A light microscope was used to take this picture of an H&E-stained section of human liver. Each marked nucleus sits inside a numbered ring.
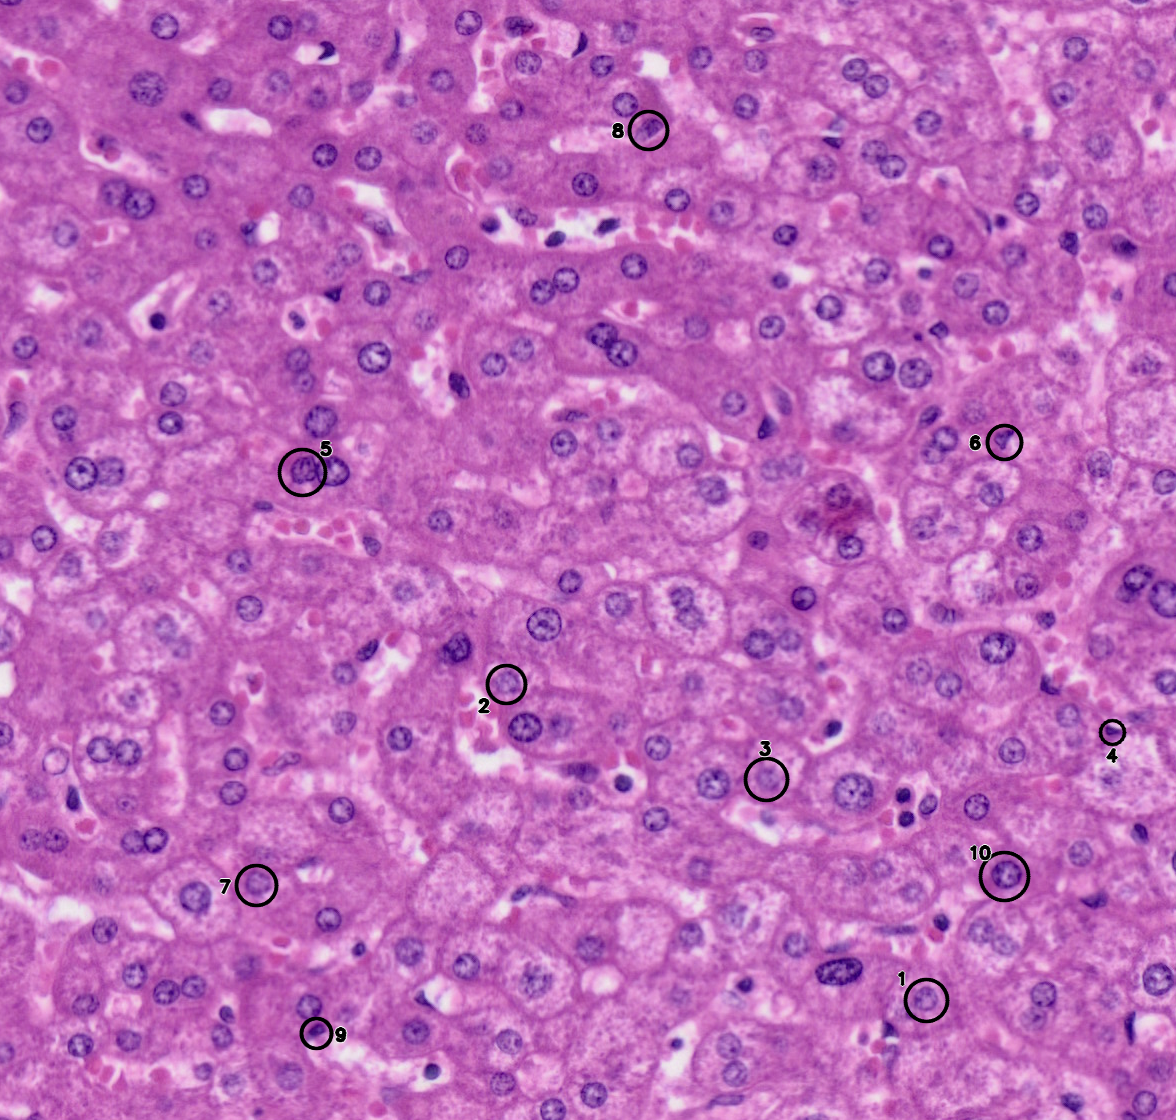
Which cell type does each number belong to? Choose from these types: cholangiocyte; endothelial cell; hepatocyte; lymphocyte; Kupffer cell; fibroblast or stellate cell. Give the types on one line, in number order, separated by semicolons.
hepatocyte; hepatocyte; hepatocyte; fibroblast or stellate cell; hepatocyte; endothelial cell; hepatocyte; Kupffer cell; fibroblast or stellate cell; hepatocyte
